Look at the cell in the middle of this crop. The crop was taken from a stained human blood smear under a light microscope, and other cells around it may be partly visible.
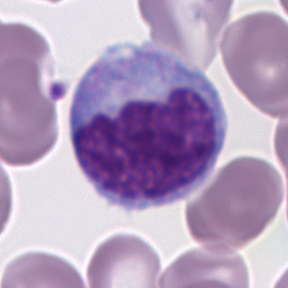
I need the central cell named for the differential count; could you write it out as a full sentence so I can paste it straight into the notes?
Within this crop, a monocyte occupies the central position.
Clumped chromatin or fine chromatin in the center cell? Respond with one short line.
Thanks for asking; the chromatin is coarsely clumped.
